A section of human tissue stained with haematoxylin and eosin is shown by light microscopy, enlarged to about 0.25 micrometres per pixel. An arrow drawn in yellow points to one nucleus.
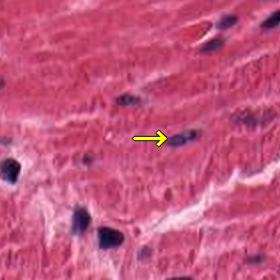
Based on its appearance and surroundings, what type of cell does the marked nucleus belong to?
smooth muscle cell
